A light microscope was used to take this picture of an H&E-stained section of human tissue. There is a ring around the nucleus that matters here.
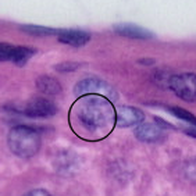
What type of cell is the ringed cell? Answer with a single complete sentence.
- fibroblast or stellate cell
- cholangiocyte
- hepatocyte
The classification of the ringed cell is as a cholangiocyte.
